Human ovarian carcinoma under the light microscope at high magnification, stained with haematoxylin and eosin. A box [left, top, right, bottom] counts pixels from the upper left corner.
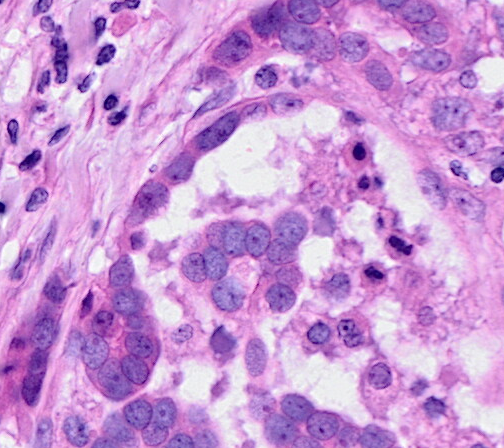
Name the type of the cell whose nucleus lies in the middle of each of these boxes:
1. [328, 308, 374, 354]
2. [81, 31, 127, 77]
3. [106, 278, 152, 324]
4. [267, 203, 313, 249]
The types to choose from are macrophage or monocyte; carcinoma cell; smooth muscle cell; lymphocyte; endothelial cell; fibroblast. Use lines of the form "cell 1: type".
cell 1: macrophage or monocyte
cell 2: lymphocyte
cell 3: carcinoma cell
cell 4: carcinoma cell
